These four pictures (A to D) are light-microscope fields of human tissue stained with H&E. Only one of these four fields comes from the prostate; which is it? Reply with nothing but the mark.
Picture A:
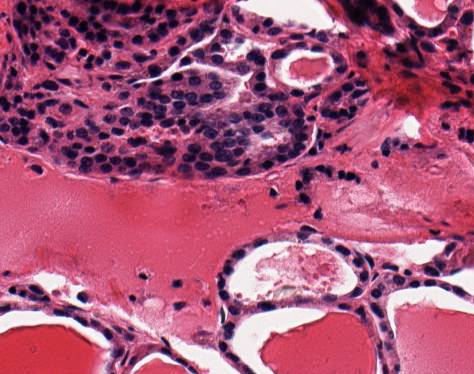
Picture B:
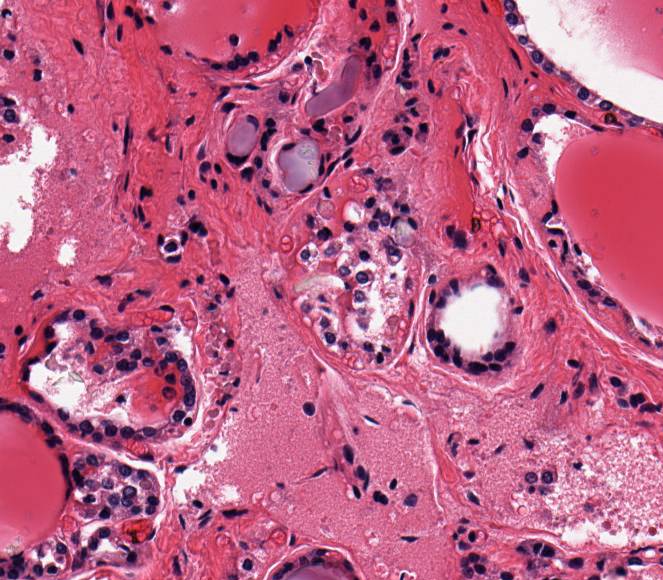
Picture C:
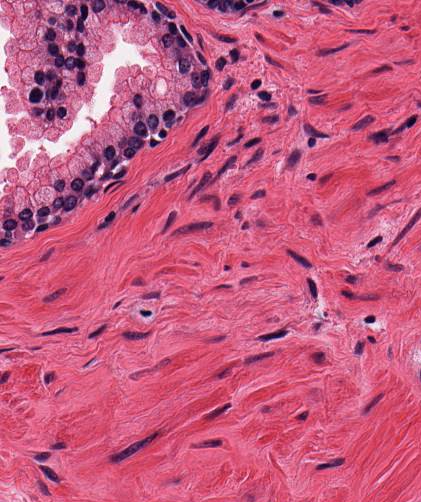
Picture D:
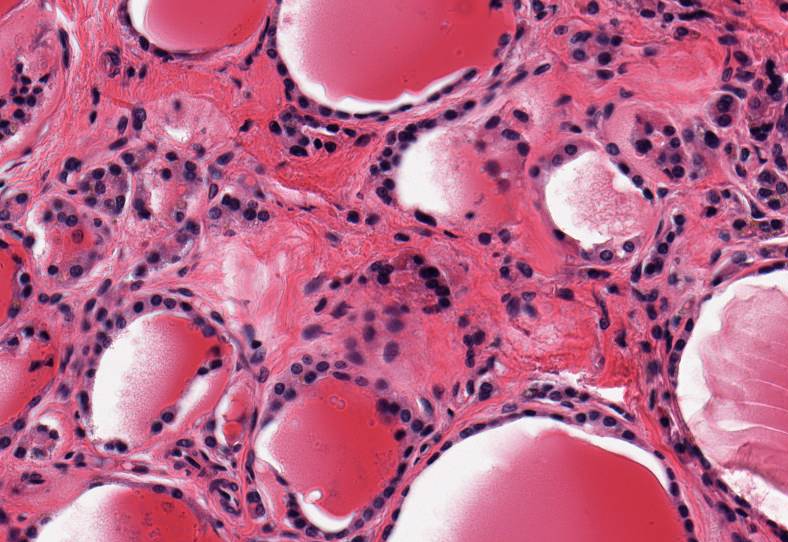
C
